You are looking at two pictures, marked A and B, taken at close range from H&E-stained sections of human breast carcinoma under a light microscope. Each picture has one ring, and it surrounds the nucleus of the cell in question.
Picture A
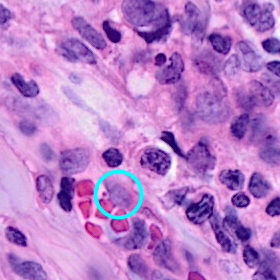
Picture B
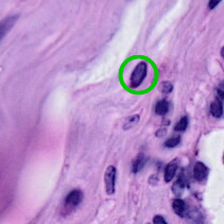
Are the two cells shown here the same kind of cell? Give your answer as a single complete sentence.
No. Picture A shows an endothelial cell, but picture B shows a lymphocyte.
